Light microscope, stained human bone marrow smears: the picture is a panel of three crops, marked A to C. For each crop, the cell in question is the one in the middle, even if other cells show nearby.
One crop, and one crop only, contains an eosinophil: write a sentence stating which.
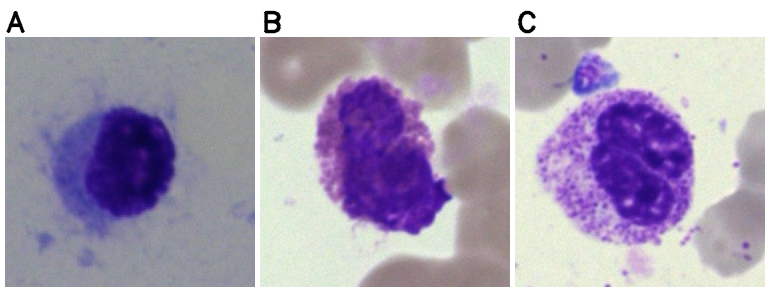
Crop B, of the crops presented, is the one showing an eosinophil.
